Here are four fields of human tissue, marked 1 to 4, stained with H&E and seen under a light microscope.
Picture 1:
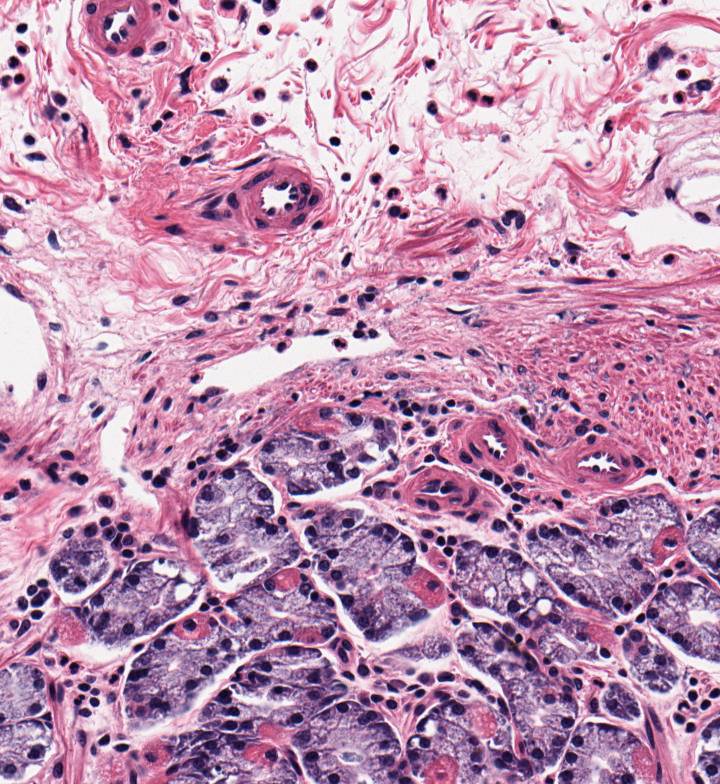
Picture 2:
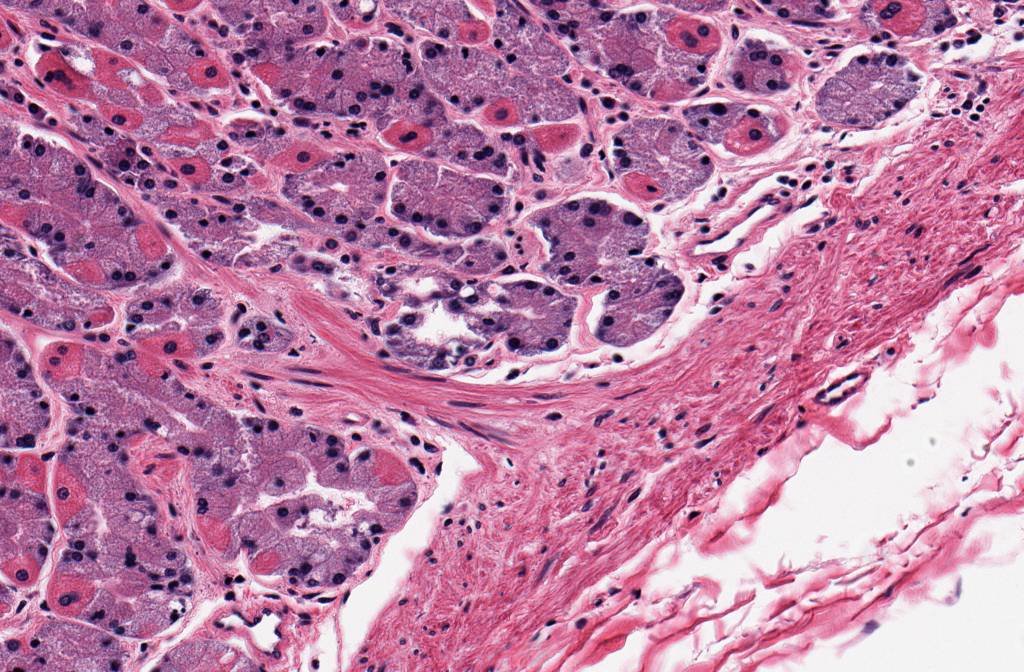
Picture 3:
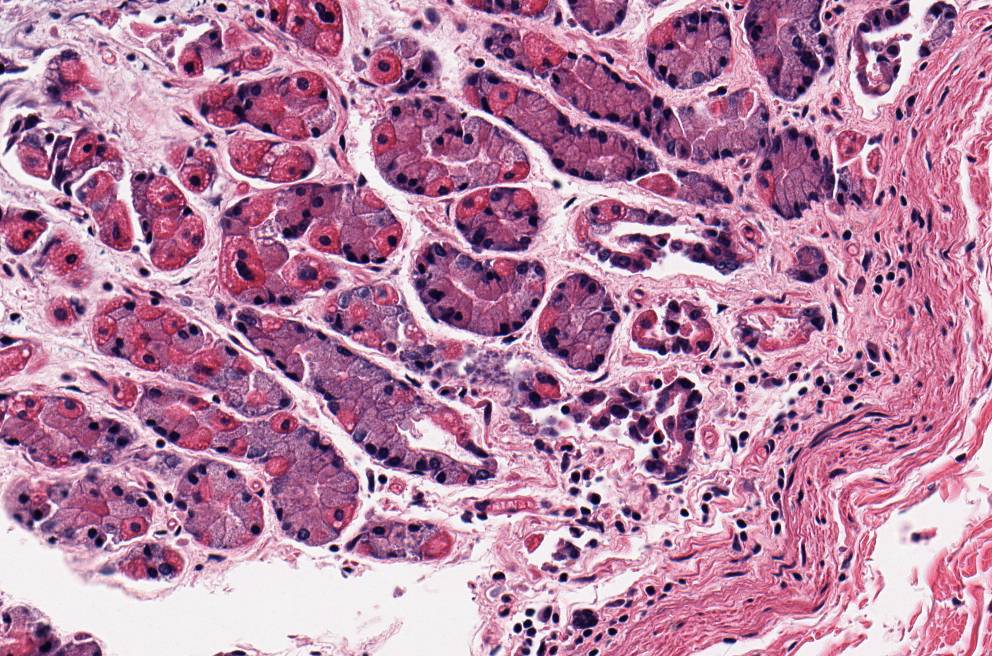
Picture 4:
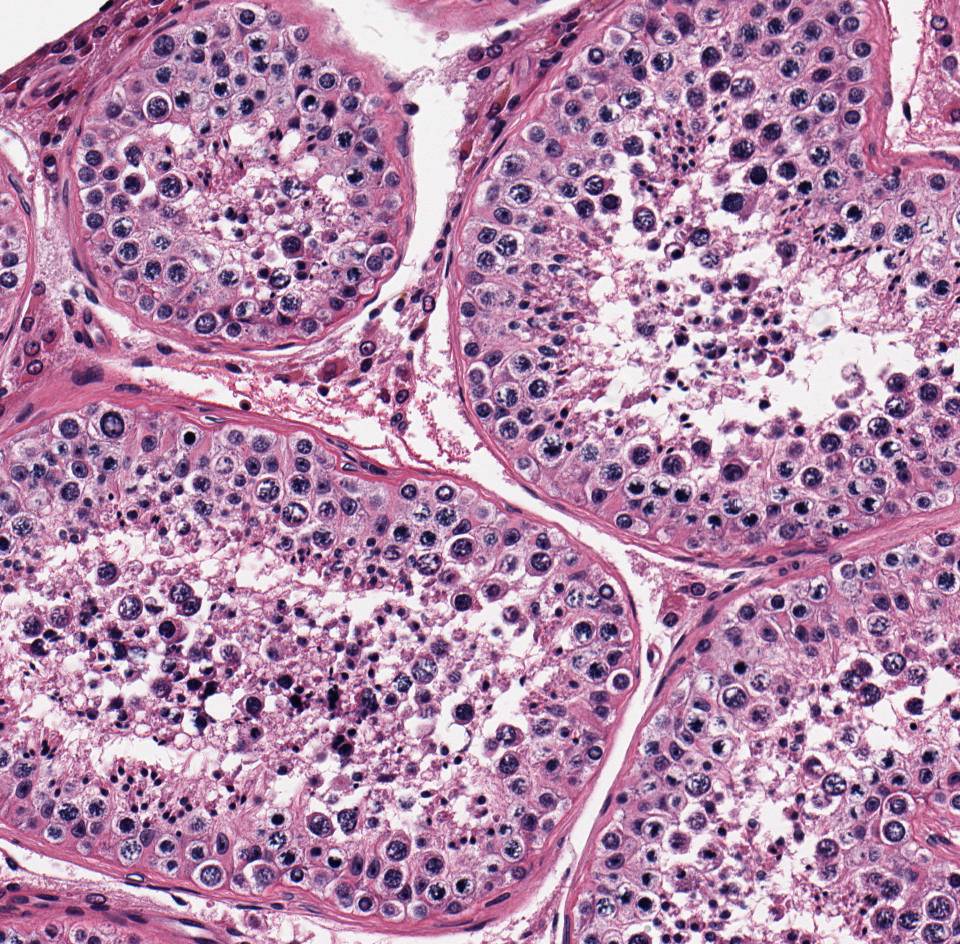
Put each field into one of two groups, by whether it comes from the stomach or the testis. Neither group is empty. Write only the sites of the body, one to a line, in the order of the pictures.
stomach
stomach
stomach
testis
